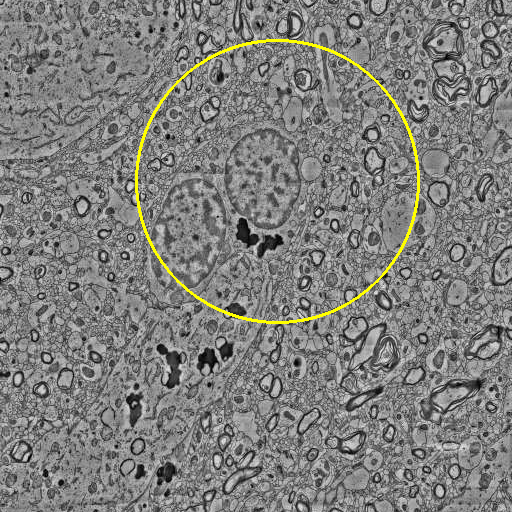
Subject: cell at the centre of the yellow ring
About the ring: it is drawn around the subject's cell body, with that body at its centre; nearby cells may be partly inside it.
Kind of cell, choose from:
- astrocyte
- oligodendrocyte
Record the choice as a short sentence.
The subject cell is an oligodendrocyte.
